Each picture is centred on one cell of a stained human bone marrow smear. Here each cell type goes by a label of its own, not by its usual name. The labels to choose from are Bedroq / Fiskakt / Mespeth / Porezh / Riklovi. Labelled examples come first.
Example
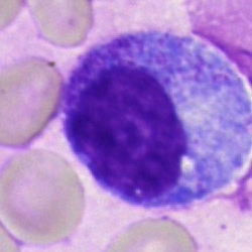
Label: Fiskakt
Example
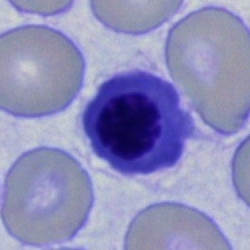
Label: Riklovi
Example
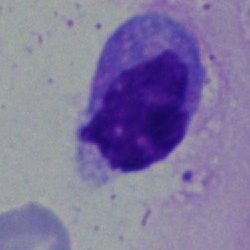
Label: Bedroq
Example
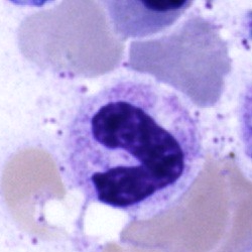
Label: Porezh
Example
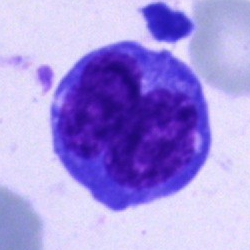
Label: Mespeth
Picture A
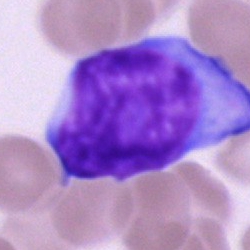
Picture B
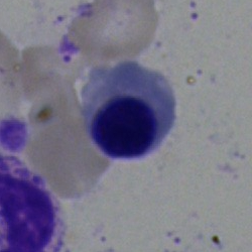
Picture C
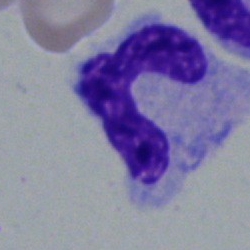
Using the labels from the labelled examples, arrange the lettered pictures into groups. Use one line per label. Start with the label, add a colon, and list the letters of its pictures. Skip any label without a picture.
Mespeth: A
Porezh: C
Riklovi: B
